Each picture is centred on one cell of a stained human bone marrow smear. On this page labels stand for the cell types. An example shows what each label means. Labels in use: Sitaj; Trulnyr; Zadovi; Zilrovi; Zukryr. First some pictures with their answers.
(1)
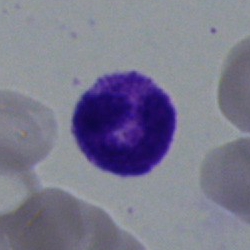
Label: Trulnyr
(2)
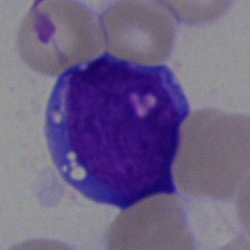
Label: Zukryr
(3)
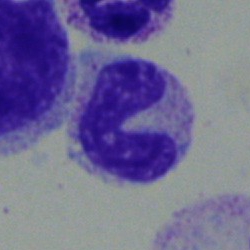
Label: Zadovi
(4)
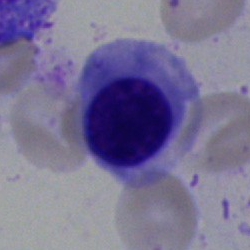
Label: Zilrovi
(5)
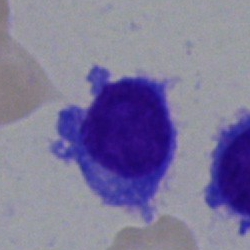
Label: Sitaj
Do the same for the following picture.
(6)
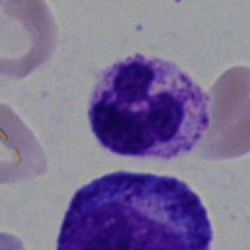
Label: Trulnyr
